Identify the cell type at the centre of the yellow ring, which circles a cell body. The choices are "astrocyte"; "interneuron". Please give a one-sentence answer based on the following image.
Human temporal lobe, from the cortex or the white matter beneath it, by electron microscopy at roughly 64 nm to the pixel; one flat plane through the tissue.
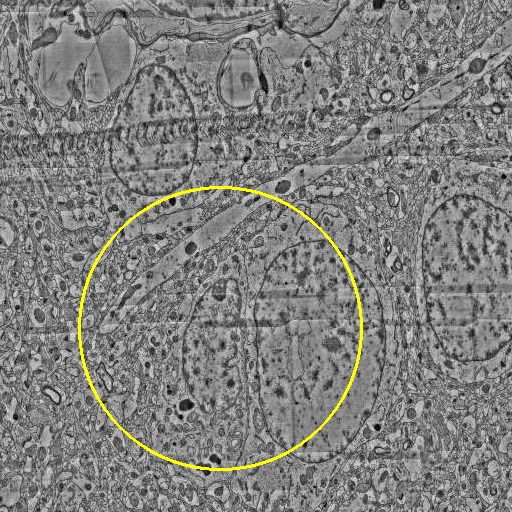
The cell marked by the ring is an interneuron.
